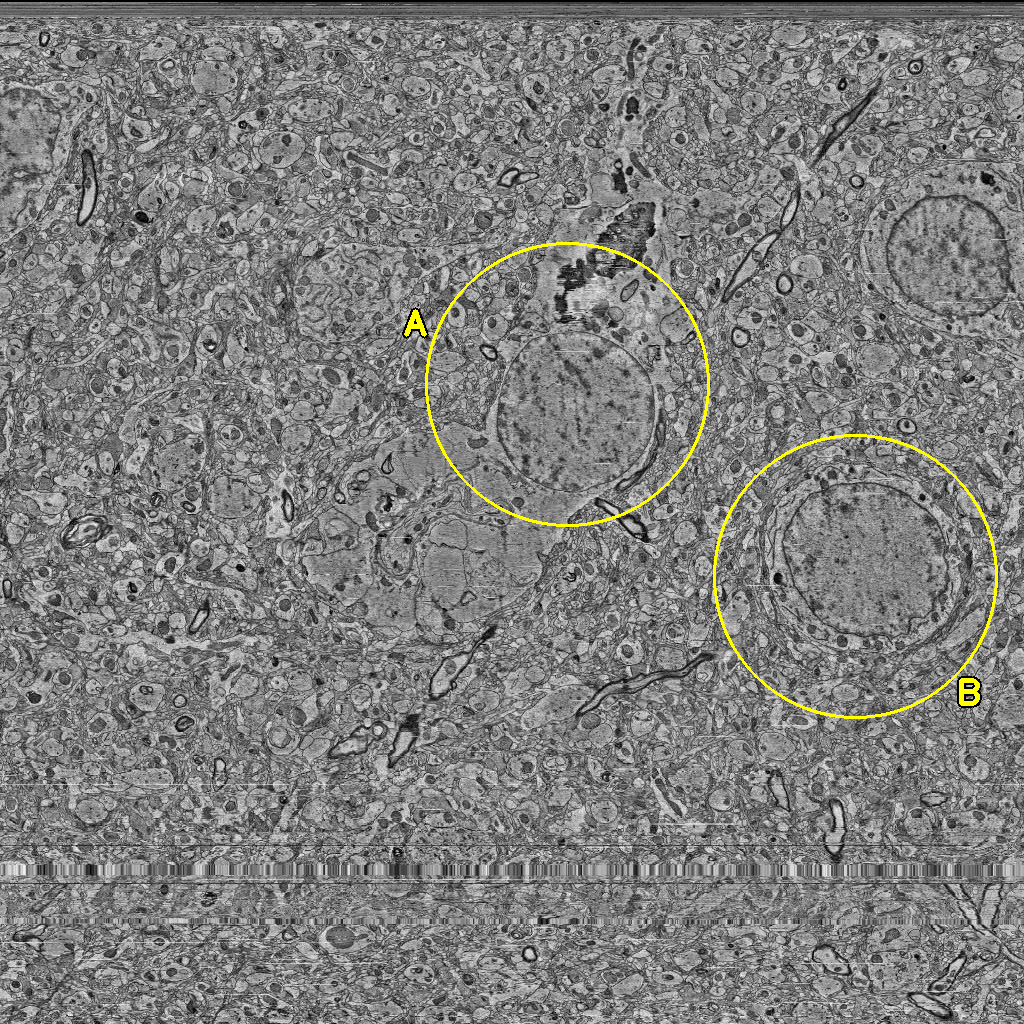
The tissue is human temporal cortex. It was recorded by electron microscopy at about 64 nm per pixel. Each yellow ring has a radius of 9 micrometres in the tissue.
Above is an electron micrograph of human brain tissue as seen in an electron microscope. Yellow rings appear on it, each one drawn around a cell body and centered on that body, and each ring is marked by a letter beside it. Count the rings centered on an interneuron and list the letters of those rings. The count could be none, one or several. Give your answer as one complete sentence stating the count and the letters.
Since not one ring has an interneuron at its centre, the tally is zero.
